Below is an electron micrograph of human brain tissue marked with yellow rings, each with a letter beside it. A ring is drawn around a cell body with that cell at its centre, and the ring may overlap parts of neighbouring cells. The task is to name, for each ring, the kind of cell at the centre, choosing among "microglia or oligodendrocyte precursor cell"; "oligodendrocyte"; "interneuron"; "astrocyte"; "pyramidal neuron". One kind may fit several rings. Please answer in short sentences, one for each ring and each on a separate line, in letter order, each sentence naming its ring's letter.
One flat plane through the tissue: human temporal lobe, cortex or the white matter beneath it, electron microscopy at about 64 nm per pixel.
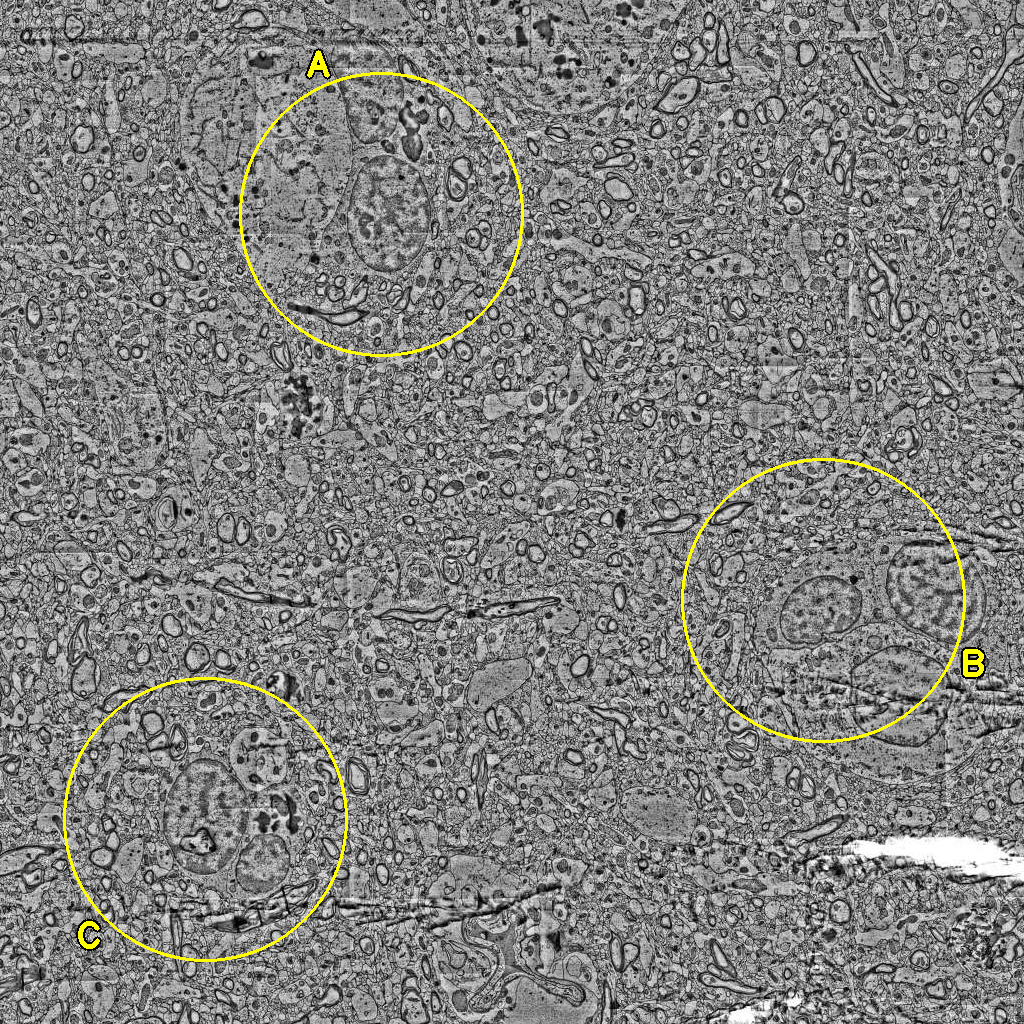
The ring with letter A is centred on an oligodendrocyte.
The ring with letter B is centred on an oligodendrocyte.
The ring with letter C is centred on an oligodendrocyte.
